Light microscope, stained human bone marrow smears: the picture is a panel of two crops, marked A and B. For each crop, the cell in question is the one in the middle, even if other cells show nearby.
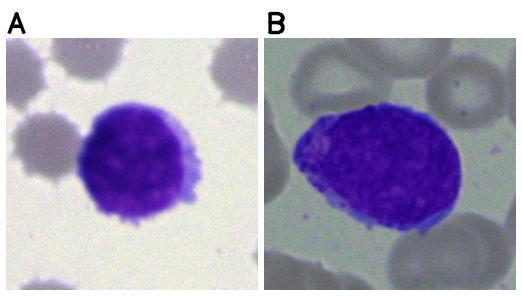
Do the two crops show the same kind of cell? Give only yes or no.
no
